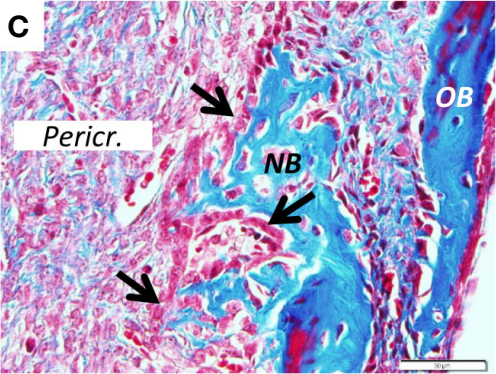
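This is calvarial bone where new, light blue woven bone matrix is forming in the cellular tissue of the pericranial side, away from the denser old bone at the right. Plump cuboid osteoblasts line the surfaces of the new matrix, and the surrounding tissue is crowded with red-stained cells and loose blue fibres.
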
